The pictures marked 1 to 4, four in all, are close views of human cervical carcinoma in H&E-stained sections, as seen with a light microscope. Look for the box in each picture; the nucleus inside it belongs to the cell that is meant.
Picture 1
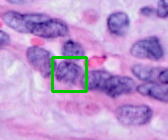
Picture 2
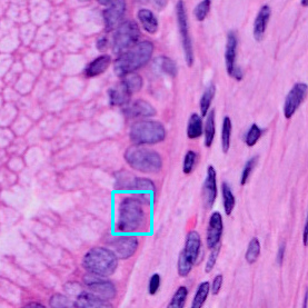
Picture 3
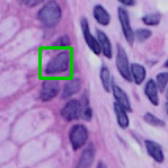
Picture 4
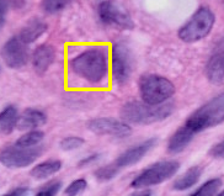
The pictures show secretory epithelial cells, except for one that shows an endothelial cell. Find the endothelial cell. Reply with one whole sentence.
Picture 1 is the one that shows the endothelial cell.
